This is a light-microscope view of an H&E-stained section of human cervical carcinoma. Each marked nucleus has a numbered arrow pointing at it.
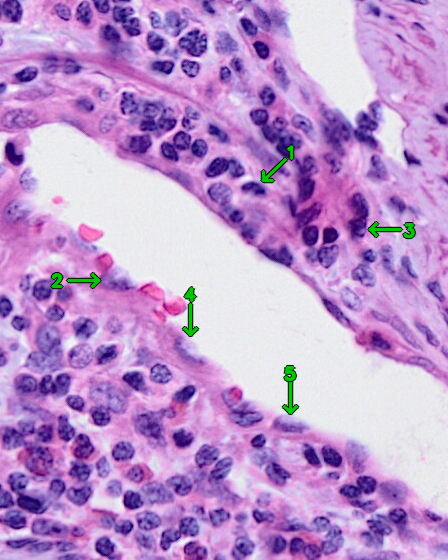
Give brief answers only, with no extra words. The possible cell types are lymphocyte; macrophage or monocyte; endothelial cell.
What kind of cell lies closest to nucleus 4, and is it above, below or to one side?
a lymphocyte below and to the left of nucleus 4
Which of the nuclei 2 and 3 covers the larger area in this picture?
2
